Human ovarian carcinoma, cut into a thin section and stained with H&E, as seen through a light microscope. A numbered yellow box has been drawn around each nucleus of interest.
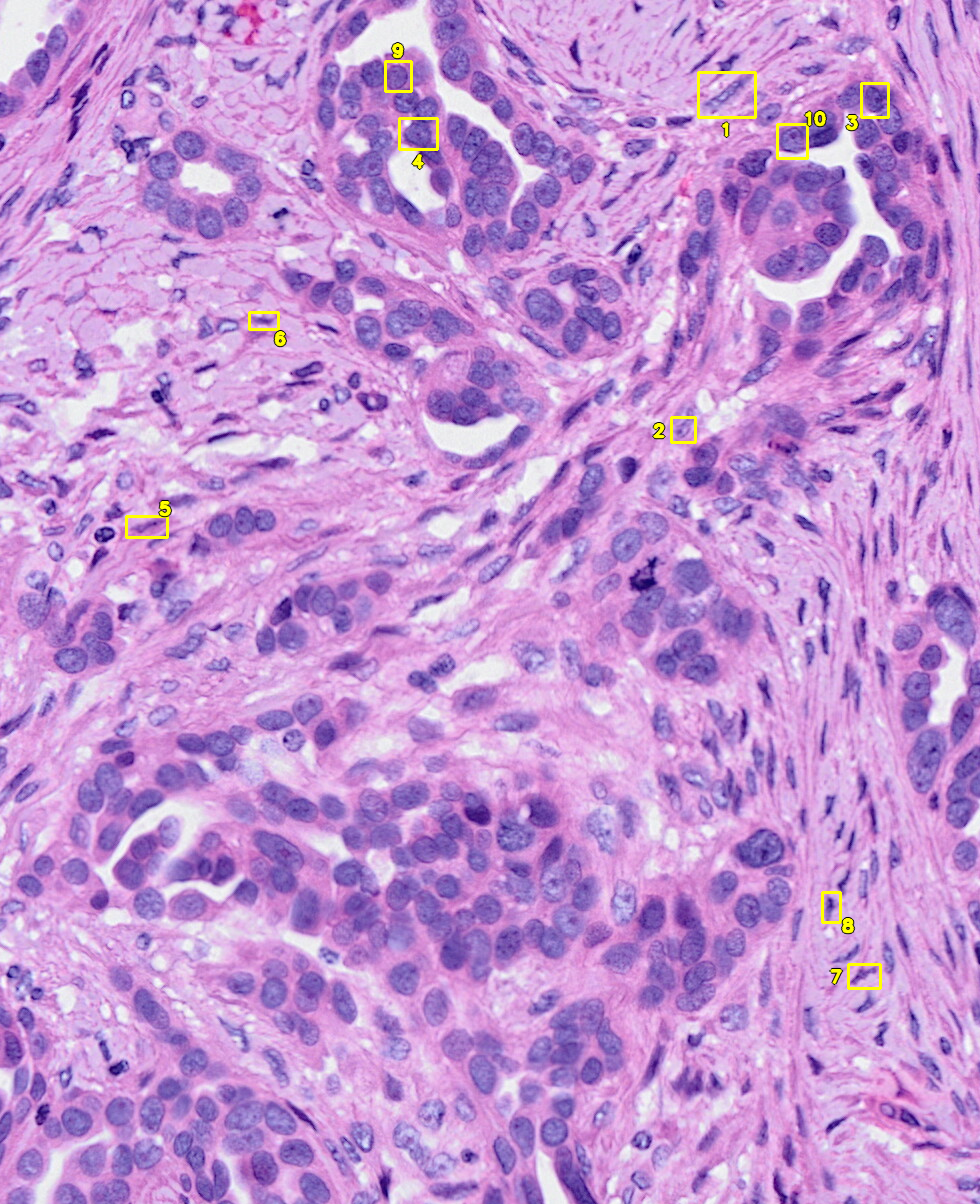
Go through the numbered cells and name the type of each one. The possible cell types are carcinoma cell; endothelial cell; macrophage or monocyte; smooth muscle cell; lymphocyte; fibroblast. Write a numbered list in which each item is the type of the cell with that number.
1. fibroblast
2. fibroblast
3. carcinoma cell
4. carcinoma cell
5. fibroblast
6. fibroblast
7. fibroblast
8. fibroblast
9. carcinoma cell
10. carcinoma cell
